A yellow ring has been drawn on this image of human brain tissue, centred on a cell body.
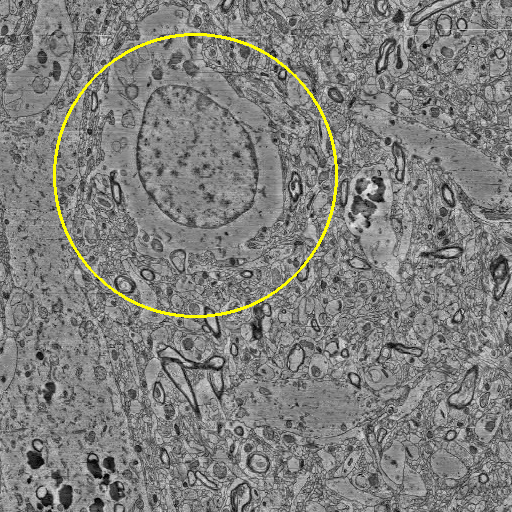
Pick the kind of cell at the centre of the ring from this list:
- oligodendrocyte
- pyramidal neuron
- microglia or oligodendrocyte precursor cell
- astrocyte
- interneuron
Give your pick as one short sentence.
The centre of the ring holds an astrocyte.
